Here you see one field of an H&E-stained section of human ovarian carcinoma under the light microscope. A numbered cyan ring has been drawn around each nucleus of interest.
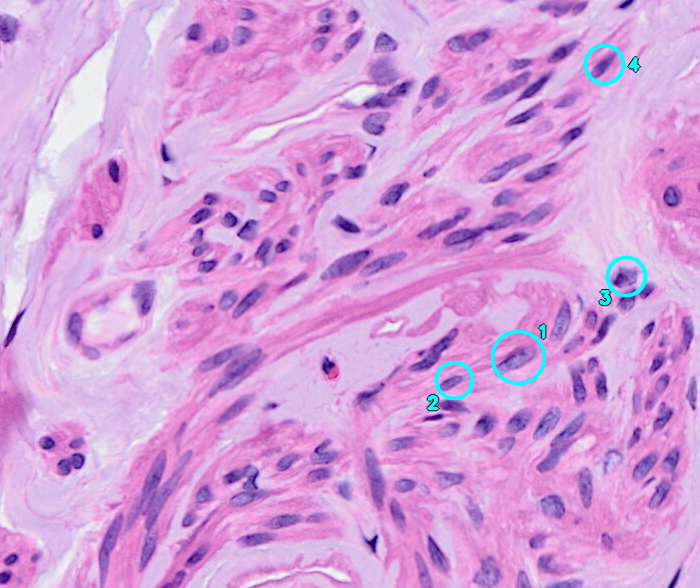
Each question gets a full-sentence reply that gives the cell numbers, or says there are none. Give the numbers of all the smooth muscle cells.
In this section, the cells labelled 1, 2 and 4 are smooth muscle cells.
